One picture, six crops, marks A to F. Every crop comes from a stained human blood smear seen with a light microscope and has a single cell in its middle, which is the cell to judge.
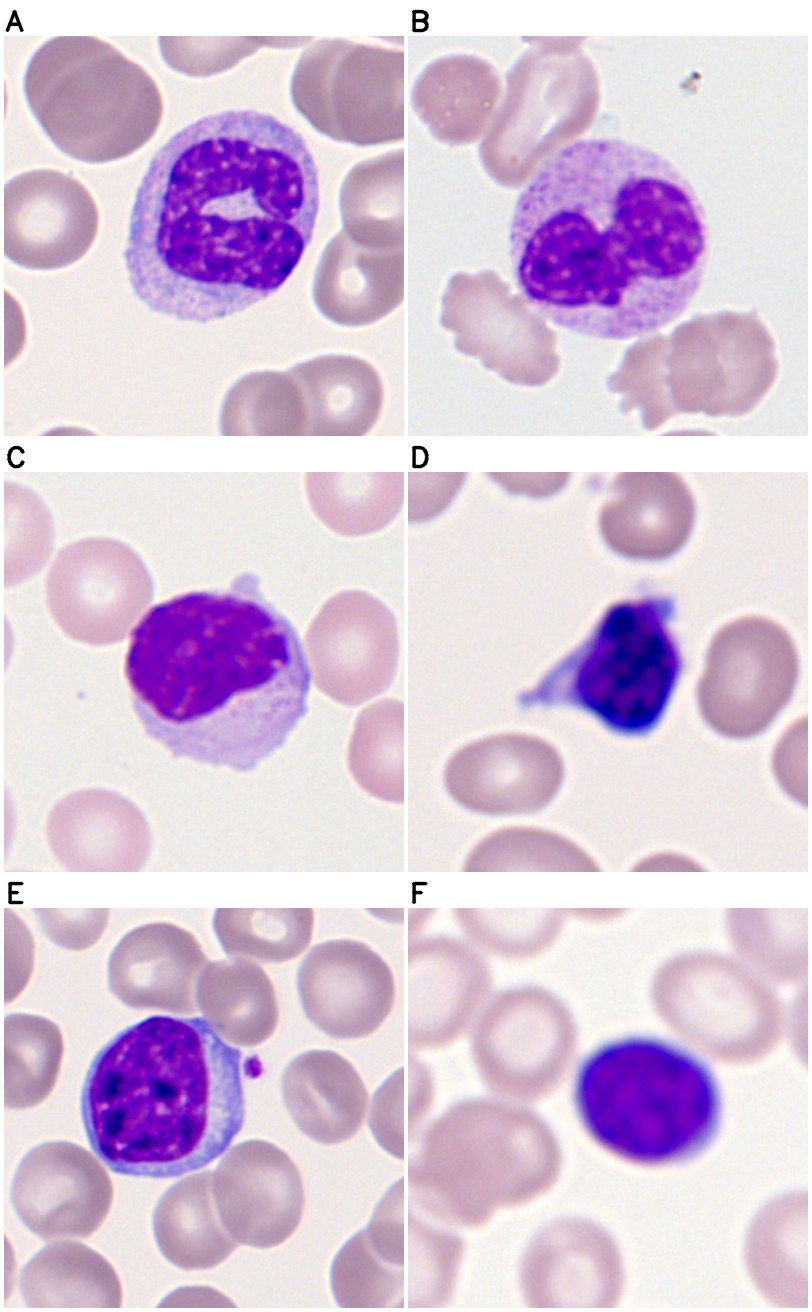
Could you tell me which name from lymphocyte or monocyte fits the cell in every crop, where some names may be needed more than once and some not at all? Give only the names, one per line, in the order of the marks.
monocyte
monocyte
lymphocyte
lymphocyte
lymphocyte
lymphocyte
